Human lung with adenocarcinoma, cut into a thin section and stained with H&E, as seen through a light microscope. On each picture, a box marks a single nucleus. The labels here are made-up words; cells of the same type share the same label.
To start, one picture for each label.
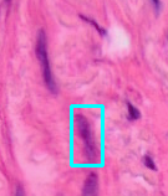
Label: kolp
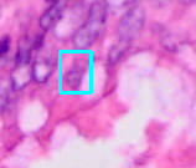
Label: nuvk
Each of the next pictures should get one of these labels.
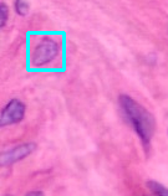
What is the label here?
kolp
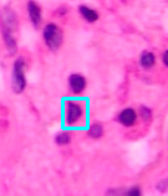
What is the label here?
kolp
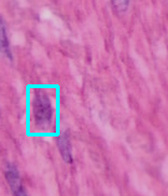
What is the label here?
kolp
